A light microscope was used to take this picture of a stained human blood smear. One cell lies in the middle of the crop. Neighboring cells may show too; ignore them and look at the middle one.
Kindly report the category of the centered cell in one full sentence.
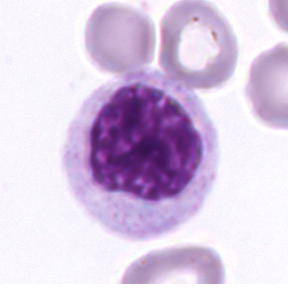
The cell in the middle of the field of view is a metamyelocyte.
